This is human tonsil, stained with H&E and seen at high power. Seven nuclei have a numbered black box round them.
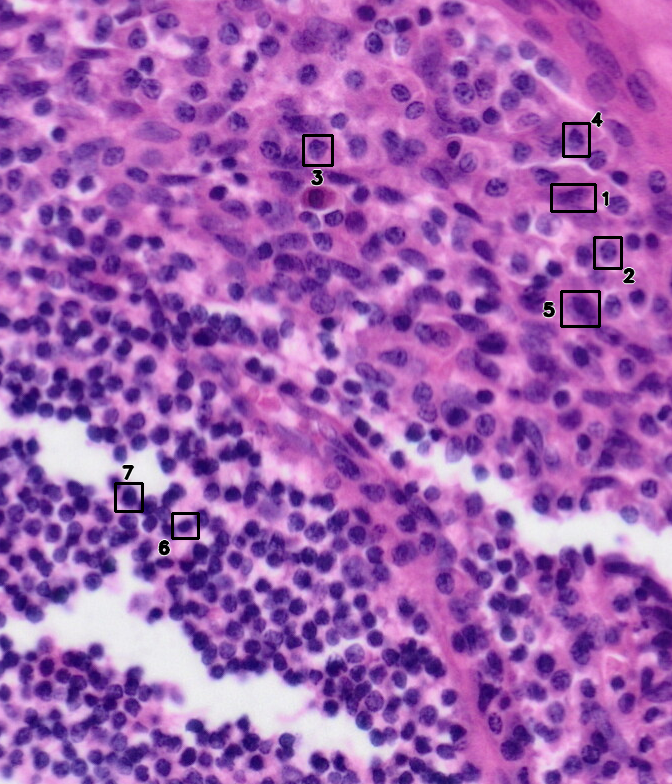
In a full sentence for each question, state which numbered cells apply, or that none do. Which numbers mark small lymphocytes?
Here, the cells that carry numbers 6 and 7 are small lymphocytes.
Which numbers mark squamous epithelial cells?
The cells marked 1 and 5 in the section are squamous epithelial cells.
